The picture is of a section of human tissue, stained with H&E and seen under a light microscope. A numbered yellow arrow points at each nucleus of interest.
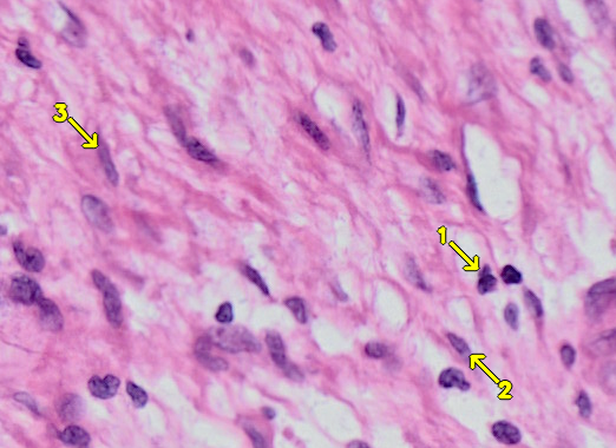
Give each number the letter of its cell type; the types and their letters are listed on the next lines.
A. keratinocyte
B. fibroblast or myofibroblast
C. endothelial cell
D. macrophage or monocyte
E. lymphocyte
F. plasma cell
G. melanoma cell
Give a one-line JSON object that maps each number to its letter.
{"1": "E", "2": "D", "3": "B"}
